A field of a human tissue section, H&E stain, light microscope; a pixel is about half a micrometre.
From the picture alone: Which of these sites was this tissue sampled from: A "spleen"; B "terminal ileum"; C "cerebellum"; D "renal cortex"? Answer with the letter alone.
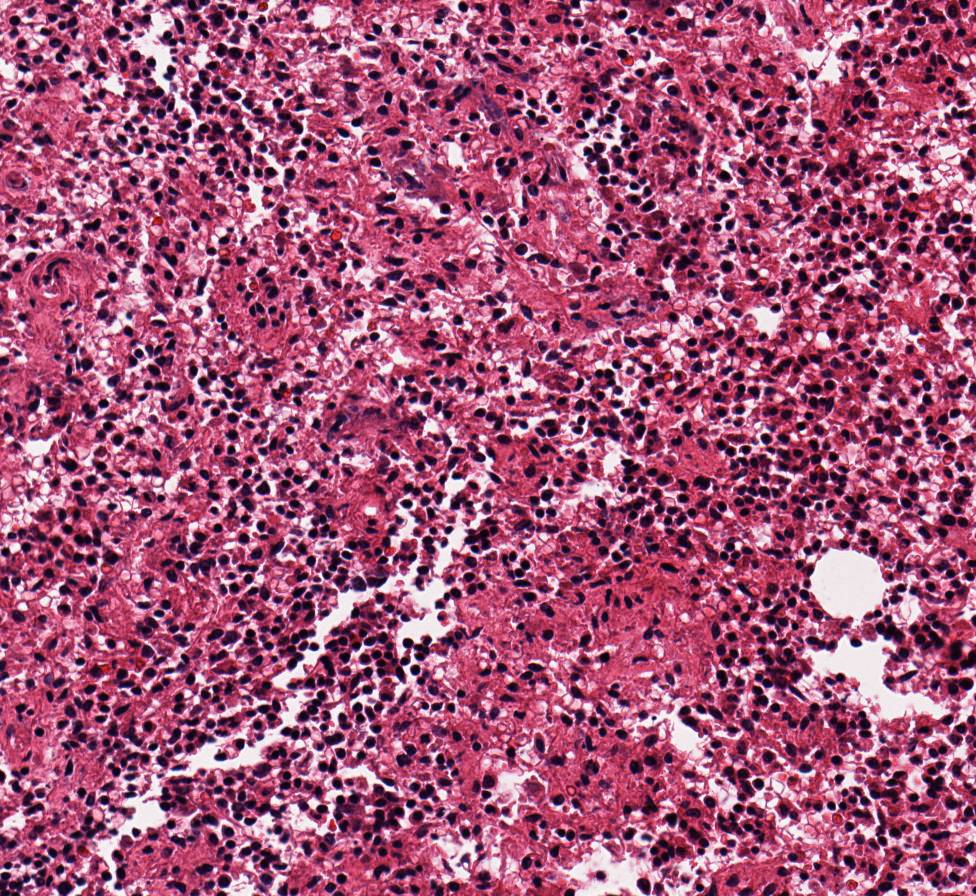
A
